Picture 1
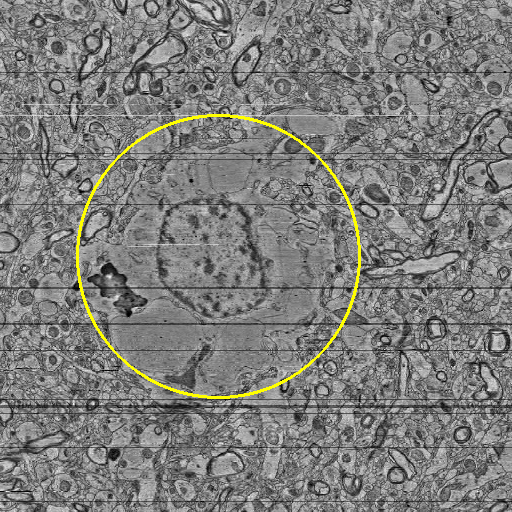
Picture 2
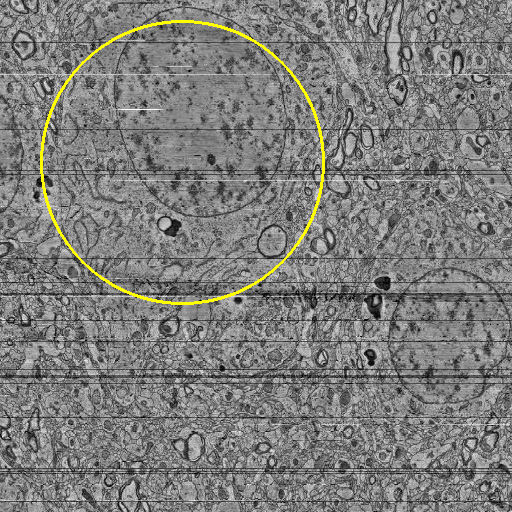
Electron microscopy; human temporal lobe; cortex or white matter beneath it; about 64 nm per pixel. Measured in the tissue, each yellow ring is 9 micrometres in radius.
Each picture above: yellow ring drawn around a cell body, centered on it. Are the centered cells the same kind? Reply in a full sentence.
No, the two cells are two kinds of cell.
